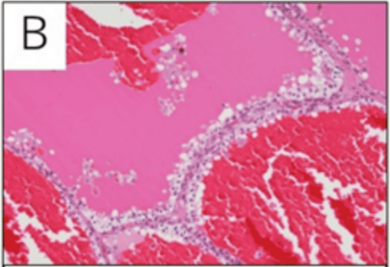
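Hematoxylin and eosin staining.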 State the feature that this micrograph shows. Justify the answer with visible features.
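Large open spaces are separated by thin walls. On this evidence: cysts.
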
